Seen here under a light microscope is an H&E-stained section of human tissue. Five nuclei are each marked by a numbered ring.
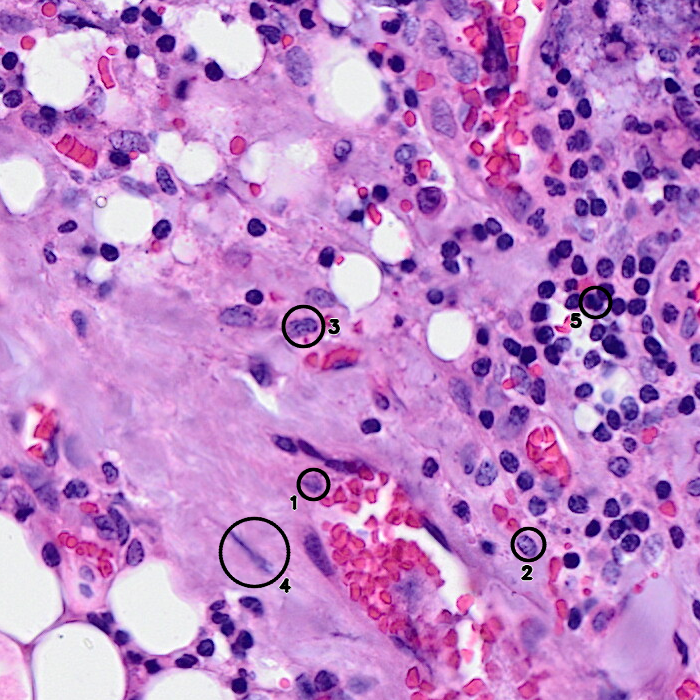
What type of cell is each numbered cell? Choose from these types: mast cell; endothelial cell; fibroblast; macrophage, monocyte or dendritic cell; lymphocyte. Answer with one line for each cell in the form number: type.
1: endothelial cell
2: mast cell
3: mast cell
4: fibroblast
5: lymphocyte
